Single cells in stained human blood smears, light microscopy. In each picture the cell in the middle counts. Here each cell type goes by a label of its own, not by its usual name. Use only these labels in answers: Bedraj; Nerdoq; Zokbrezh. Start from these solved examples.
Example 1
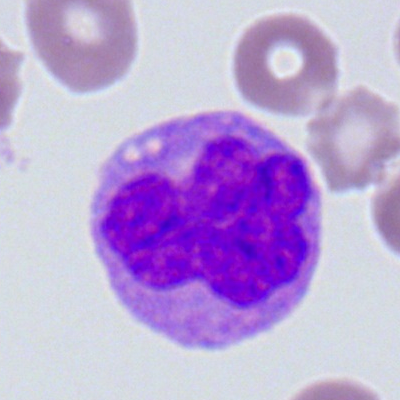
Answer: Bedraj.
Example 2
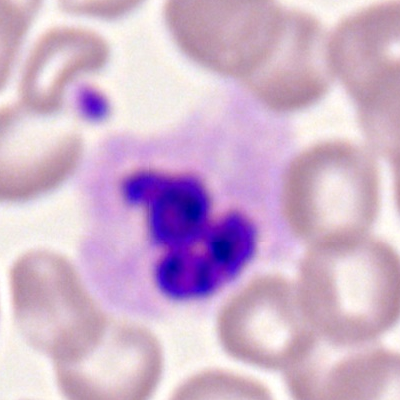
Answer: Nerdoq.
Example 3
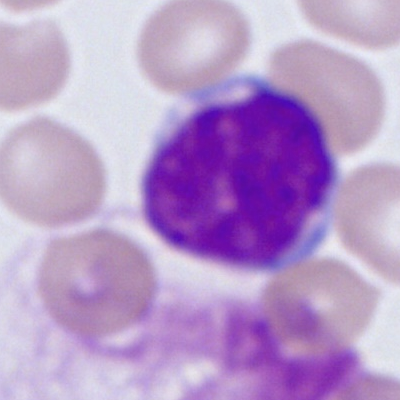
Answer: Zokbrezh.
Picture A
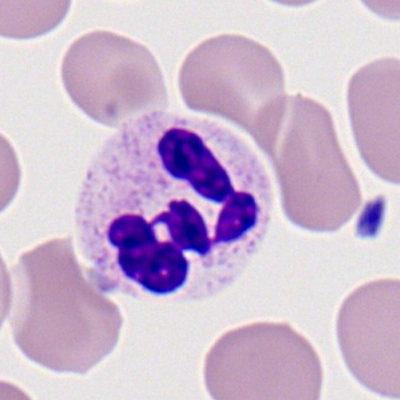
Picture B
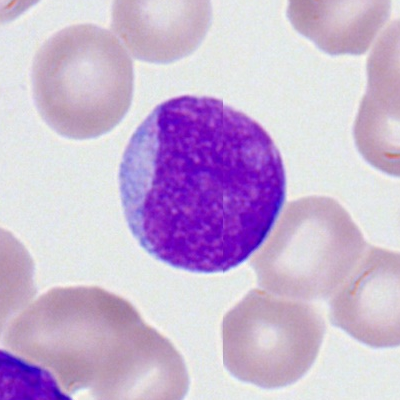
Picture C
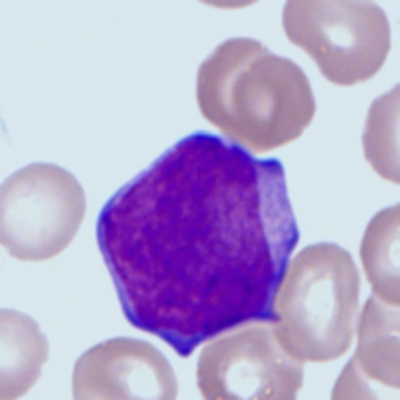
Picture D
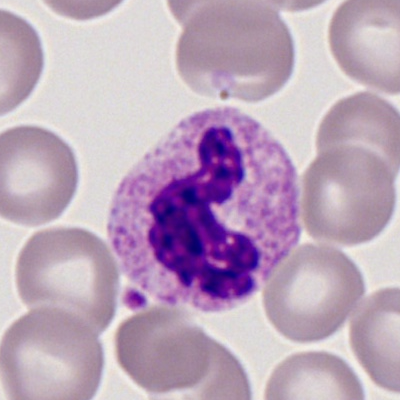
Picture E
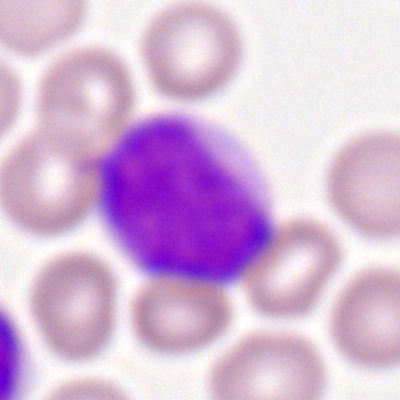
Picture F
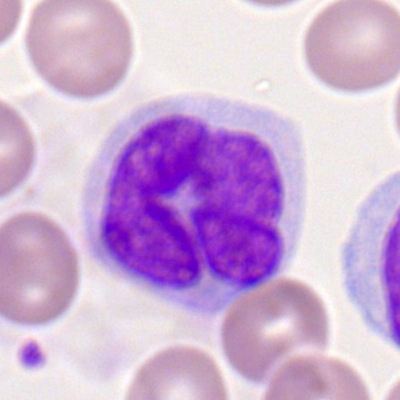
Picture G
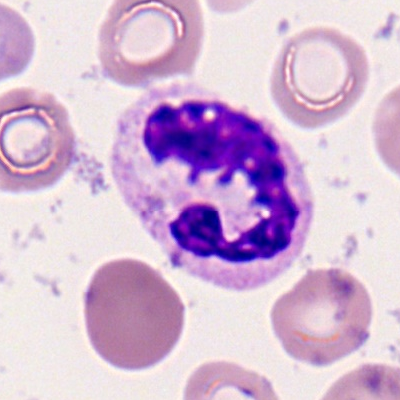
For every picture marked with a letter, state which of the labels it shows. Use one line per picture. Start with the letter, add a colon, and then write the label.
A: Nerdoq.
B: Zokbrezh.
C: Zokbrezh.
D: Nerdoq.
E: Zokbrezh.
F: Bedraj.
G: Nerdoq.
